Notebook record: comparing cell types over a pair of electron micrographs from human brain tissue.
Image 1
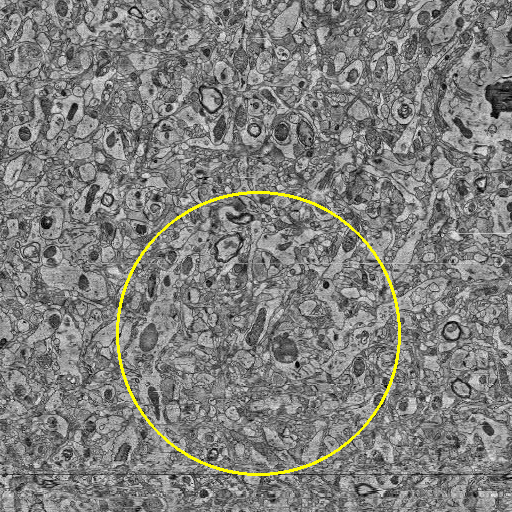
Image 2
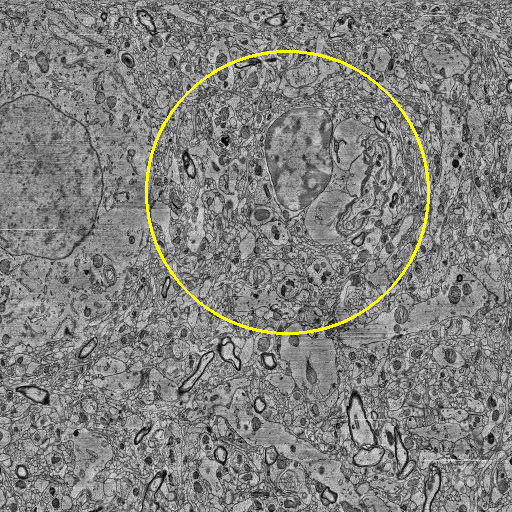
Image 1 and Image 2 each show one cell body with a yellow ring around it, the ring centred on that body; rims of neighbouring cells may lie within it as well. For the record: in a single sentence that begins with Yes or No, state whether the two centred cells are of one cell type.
Yes, one cell type is shared by the centred cells of Image 1 and Image 2.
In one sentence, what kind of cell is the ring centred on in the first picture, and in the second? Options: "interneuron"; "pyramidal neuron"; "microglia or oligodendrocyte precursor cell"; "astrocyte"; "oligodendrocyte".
The ring centre holds a microglial cell or oligodendrocyte precursor cell in each of the two pictures.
